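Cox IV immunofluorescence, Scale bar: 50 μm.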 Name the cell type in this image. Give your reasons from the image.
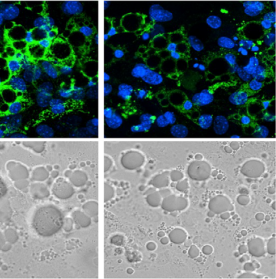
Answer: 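Adipocyte. Cells are filled with multiple round, clear droplets of differing sizes. Green cytoplasm forms thin rims between the droplets, with blue nuclei to the side.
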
